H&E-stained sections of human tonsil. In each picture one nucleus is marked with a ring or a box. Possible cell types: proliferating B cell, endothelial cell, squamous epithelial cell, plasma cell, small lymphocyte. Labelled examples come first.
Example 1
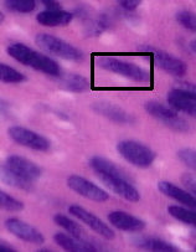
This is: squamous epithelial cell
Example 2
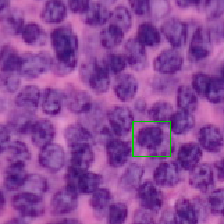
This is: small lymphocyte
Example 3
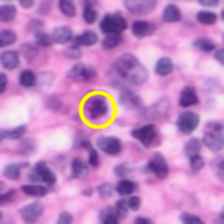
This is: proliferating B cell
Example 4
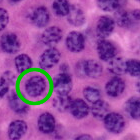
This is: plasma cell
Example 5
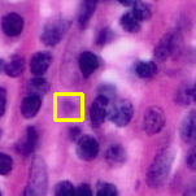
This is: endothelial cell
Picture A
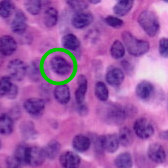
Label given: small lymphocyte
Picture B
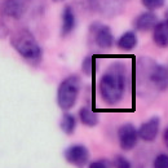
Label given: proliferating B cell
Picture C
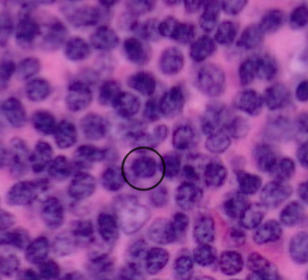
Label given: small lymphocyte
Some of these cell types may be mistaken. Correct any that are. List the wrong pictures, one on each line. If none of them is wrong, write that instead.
A is labelled small lymphocyte; correct label: plasma cell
